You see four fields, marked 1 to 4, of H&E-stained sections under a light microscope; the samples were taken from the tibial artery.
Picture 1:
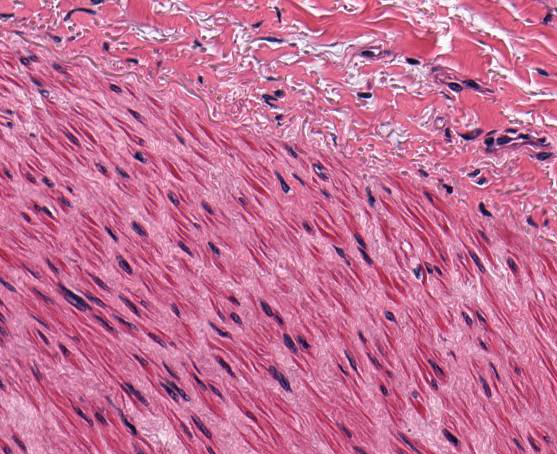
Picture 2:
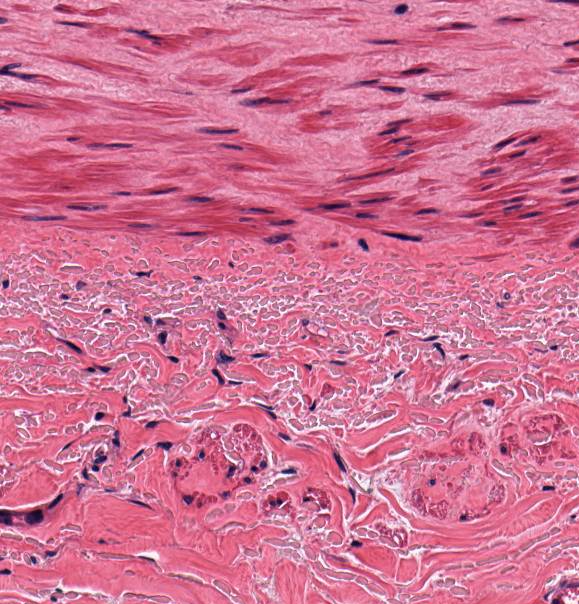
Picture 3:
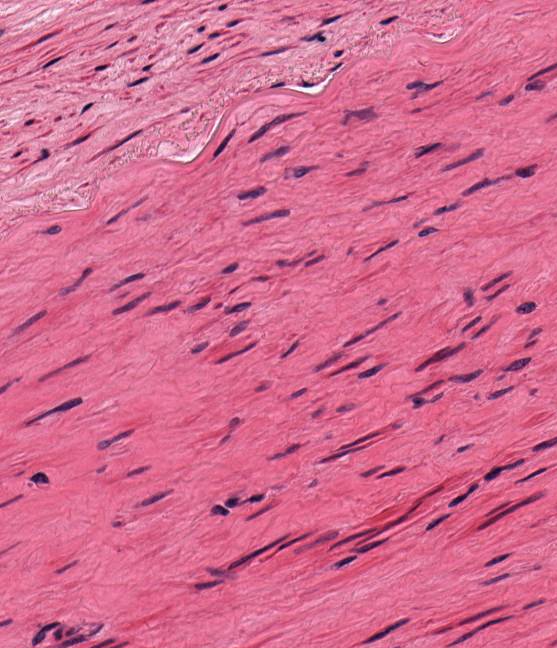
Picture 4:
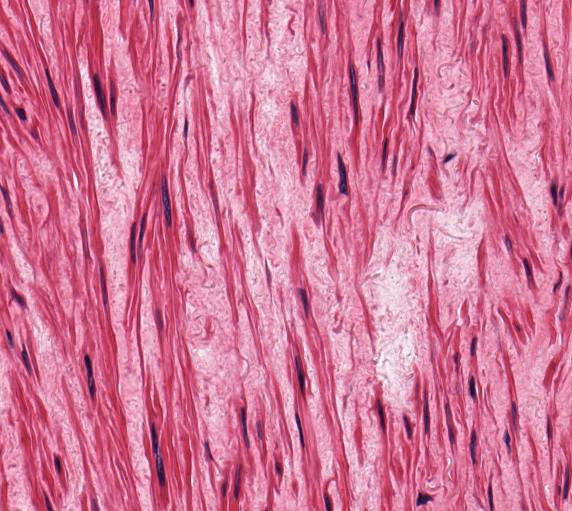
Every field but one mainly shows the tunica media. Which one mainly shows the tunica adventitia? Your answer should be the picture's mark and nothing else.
2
